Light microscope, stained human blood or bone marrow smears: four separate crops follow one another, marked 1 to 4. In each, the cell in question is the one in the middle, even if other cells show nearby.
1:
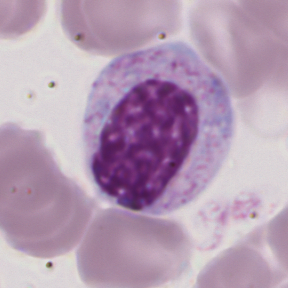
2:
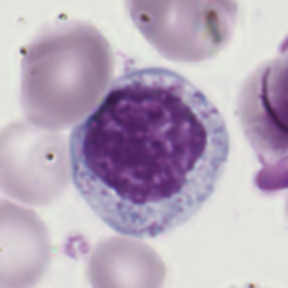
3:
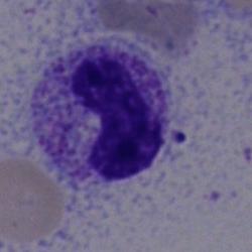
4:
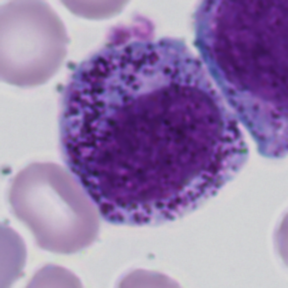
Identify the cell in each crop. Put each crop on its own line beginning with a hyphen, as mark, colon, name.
- 1: metamyelocyte
- 2: myelocyte
- 3: band neutrophil
- 4: myelocyte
